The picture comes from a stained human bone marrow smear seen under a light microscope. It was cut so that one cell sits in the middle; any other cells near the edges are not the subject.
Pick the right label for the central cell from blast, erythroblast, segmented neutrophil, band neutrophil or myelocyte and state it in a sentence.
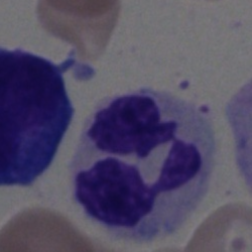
Regarding the central cell, it is a segmented neutrophil.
